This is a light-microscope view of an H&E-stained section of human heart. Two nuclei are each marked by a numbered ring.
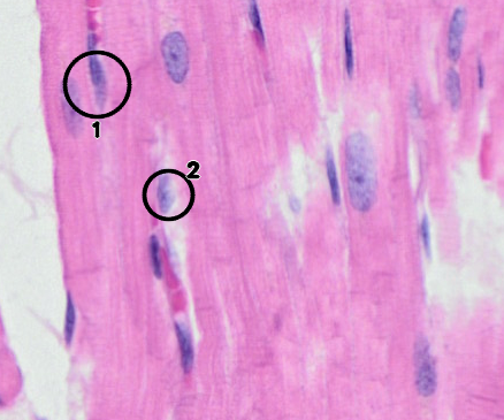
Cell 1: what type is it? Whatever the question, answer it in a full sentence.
Here the cell numbered 1 is an endothelial cell.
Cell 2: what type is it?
The marked nucleus 2 is that of a fibroblast.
